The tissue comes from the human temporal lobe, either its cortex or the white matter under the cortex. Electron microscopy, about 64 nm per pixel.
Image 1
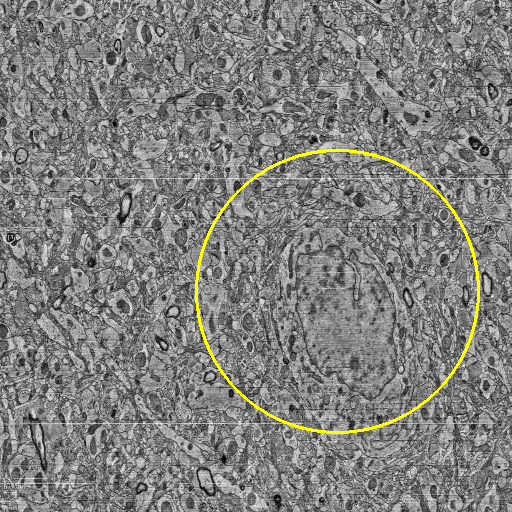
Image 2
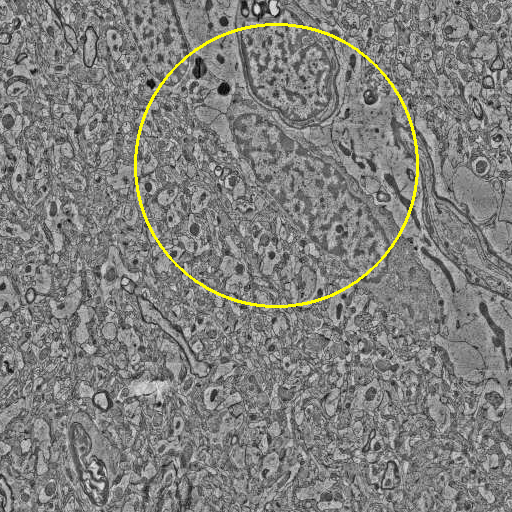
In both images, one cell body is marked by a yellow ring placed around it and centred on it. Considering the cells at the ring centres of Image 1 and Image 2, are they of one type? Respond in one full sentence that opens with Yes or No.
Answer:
No, two types apply to the ring-centred cells of Image 1 and Image 2.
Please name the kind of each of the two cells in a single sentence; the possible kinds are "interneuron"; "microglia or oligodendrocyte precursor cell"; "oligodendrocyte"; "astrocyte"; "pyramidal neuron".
In the first picture the ring is centred on an interneuron, and in the second on an oligodendrocyte.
